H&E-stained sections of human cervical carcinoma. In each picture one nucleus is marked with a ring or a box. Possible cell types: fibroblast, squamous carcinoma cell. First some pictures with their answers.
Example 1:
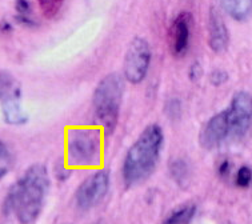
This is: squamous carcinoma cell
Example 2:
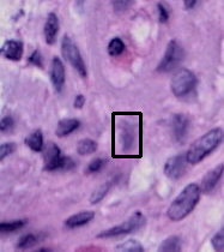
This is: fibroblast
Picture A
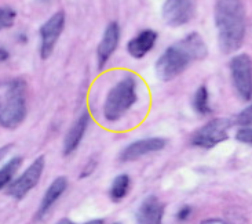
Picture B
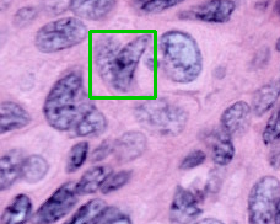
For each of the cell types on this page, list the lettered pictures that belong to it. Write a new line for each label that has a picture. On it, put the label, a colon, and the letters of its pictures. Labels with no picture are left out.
fibroblast: A
squamous carcinoma cell: B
